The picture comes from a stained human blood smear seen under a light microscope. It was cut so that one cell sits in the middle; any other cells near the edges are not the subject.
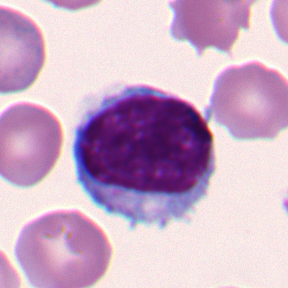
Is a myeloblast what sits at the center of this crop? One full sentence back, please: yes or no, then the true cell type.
No, the cell under consideration is a typical lymphocyte instead of a myeloblast.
